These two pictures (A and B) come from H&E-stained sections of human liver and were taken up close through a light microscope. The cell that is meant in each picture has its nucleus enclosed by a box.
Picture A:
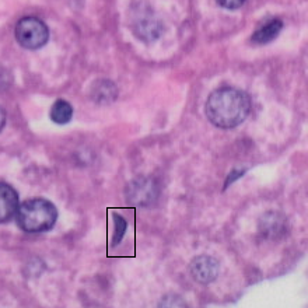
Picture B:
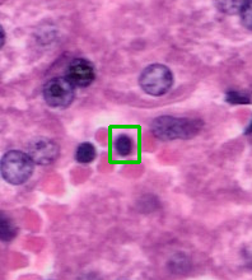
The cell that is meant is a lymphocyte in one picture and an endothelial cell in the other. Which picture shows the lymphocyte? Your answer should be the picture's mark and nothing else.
B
